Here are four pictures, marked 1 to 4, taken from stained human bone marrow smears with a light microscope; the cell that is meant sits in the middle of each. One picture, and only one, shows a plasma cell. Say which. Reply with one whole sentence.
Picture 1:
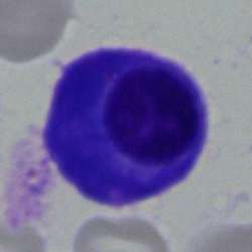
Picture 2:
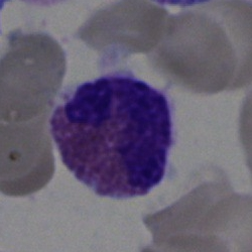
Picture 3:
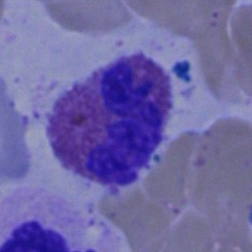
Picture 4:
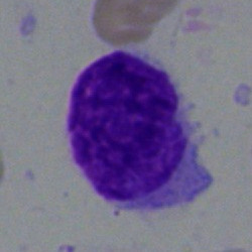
The cell in picture 1 is the plasma cell.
